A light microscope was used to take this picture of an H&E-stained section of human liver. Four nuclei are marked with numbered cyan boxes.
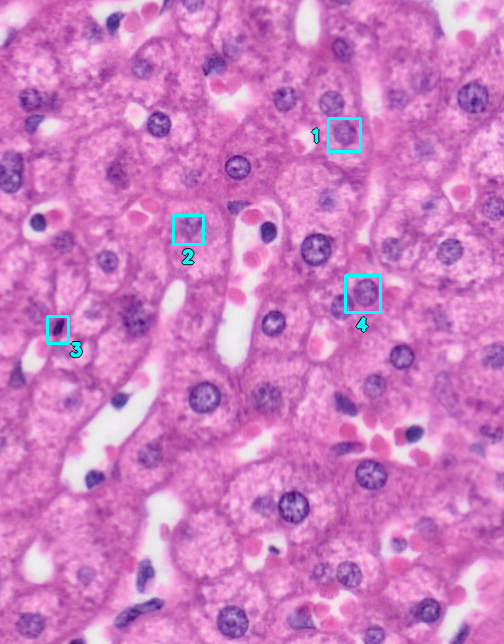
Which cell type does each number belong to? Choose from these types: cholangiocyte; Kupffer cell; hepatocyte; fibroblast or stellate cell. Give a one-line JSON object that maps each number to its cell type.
{"1": "hepatocyte", "2": "hepatocyte", "3": "fibroblast or stellate cell", "4": "hepatocyte"}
